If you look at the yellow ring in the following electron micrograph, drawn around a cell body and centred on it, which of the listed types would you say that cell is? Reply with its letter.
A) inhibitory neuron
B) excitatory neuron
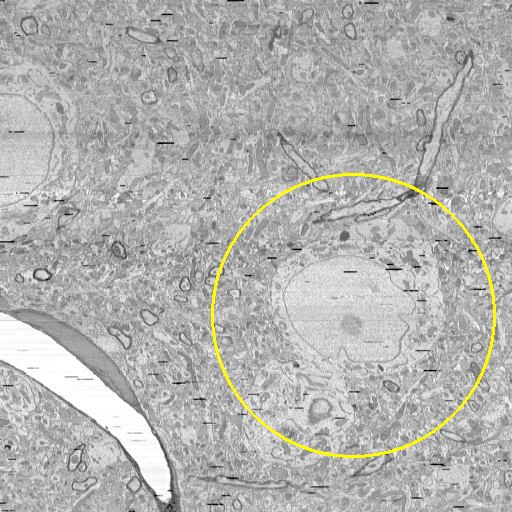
B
